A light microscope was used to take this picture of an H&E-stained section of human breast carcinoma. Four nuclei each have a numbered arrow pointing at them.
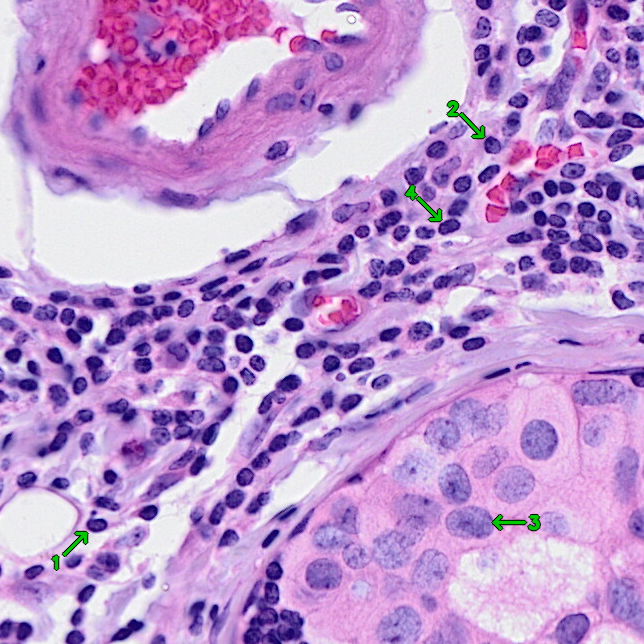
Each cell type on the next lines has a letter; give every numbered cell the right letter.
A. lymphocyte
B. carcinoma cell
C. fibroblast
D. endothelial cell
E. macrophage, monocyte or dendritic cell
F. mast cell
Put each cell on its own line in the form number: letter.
1: A
2: A
3: B
4: A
